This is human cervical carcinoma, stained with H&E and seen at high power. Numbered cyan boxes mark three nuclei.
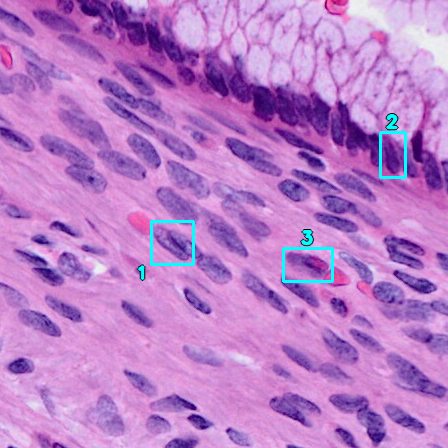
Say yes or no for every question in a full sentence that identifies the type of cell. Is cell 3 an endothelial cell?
Yes, the cell that bears the number 3 is an endothelial cell.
